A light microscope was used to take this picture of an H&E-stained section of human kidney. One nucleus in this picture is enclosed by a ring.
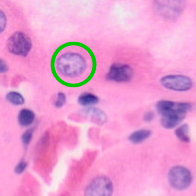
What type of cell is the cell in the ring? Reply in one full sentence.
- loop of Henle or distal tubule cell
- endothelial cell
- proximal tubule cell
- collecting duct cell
As far as its identity is concerned, the cell in the ring is a proximal tubule cell.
